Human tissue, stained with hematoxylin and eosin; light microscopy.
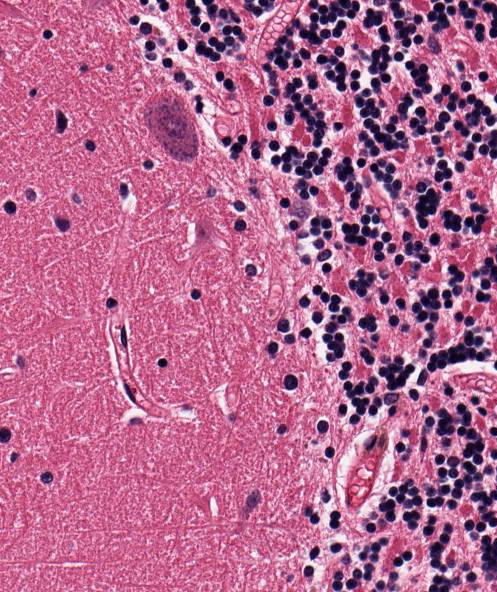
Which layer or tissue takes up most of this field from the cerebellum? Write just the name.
molecular layer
